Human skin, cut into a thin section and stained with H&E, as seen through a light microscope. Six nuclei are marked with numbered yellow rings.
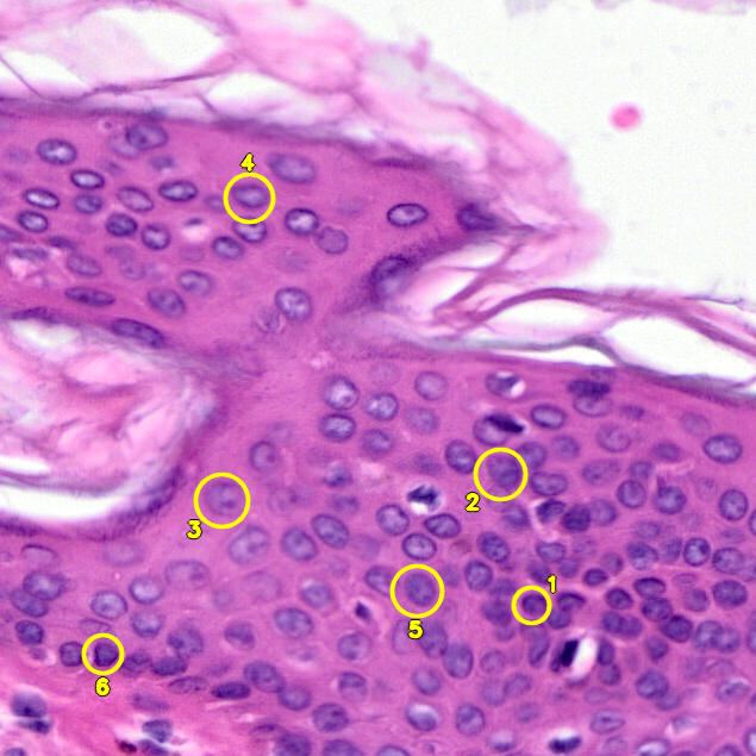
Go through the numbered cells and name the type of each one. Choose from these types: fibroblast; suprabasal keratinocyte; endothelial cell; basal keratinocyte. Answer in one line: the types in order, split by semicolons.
basal keratinocyte; suprabasal keratinocyte; suprabasal keratinocyte; suprabasal keratinocyte; suprabasal keratinocyte; basal keratinocyte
